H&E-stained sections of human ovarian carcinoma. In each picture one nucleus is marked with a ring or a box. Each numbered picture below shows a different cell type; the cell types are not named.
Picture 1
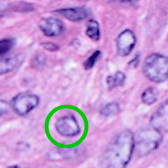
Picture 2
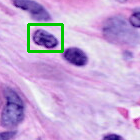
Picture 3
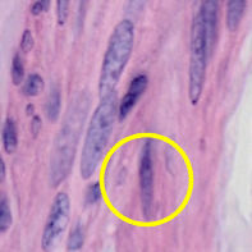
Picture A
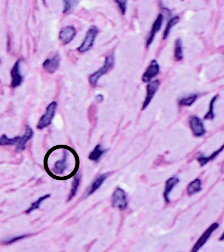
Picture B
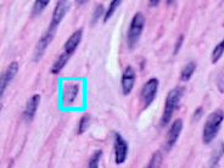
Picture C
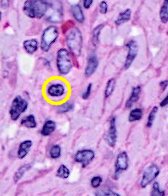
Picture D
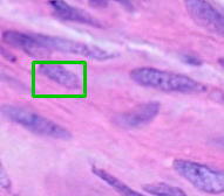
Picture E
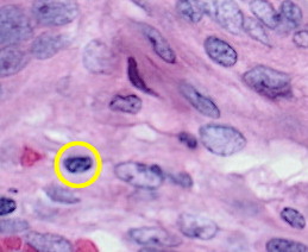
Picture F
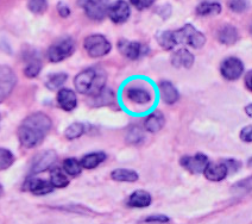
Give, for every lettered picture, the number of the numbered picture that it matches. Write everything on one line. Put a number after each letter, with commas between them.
A 1, B 3, C 2, D 3, E 2, F 2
